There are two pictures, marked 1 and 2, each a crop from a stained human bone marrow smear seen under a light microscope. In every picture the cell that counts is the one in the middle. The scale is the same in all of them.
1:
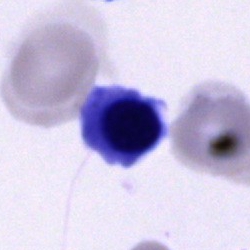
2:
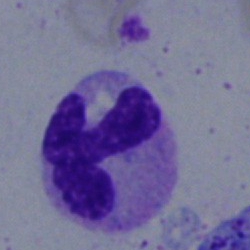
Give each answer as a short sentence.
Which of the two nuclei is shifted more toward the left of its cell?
It is the nucleus in crop 2 that lies further toward the left of its cell.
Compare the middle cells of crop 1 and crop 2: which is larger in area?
It is the cell in crop 2, about 3 times as large in area as the cell in crop 1.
